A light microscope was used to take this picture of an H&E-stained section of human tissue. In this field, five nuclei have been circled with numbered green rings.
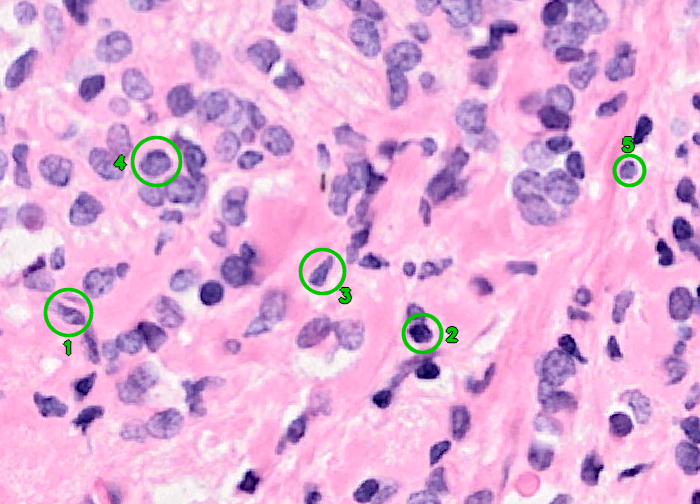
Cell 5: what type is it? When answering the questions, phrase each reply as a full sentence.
The marked cell with the number 5 is recognised as a lymphocyte.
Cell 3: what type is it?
Among the marked cells, number 3 is a lymphocyte.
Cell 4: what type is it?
The cell referred to as 4 is a carcinoma cell.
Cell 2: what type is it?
What the number 2 marks in this field is a lymphocyte.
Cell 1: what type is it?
Cell 1 in the field of view is an endothelial cell.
